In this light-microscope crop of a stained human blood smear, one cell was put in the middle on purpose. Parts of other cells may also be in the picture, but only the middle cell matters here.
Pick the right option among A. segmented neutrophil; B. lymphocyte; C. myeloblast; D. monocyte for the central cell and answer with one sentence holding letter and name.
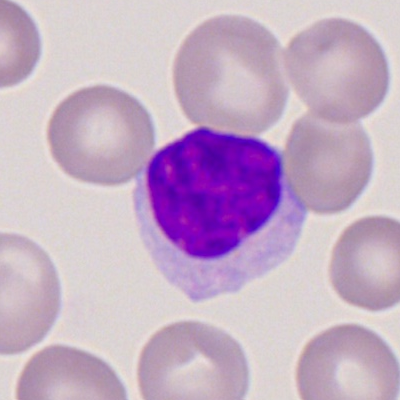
The middle cell of the crop is a lymphocyte; accordingly, option B is correct.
